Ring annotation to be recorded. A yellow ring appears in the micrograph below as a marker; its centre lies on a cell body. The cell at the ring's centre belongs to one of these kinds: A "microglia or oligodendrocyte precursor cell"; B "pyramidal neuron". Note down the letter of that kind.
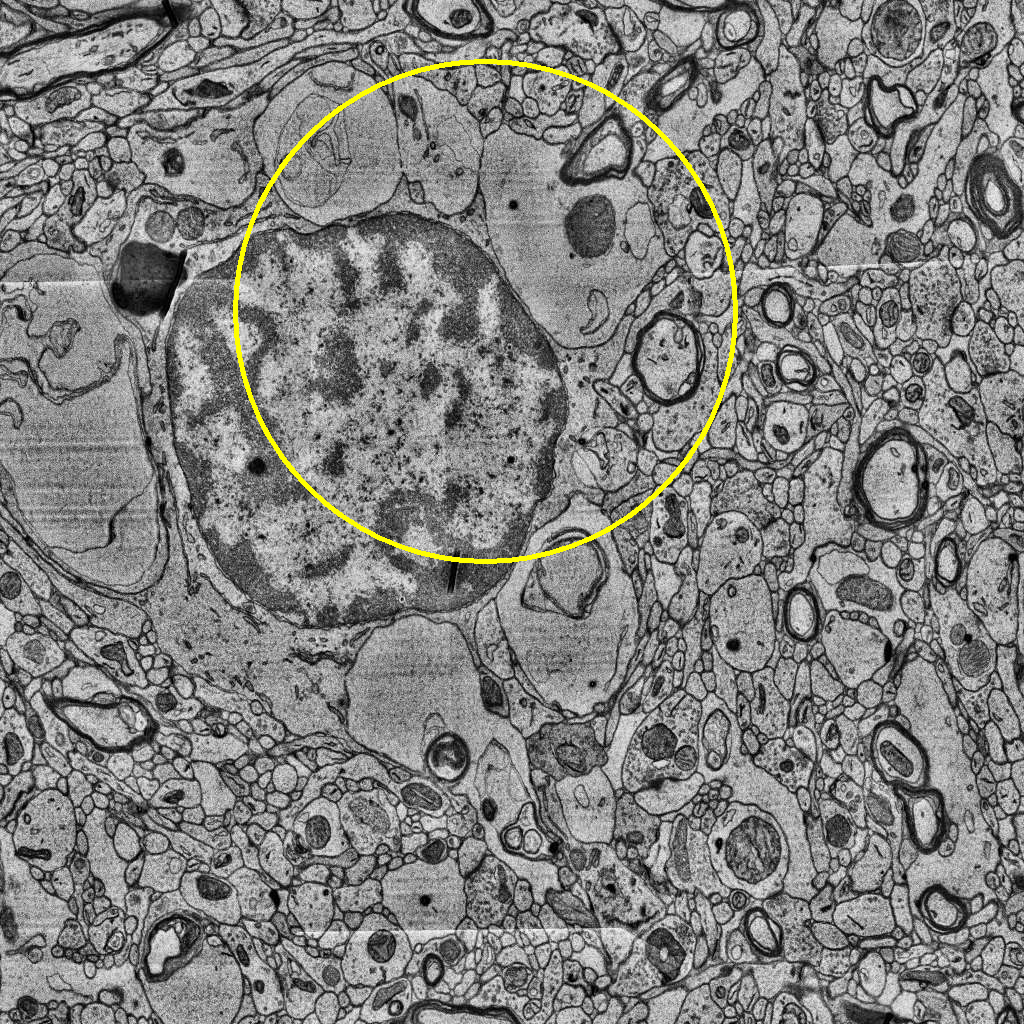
A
